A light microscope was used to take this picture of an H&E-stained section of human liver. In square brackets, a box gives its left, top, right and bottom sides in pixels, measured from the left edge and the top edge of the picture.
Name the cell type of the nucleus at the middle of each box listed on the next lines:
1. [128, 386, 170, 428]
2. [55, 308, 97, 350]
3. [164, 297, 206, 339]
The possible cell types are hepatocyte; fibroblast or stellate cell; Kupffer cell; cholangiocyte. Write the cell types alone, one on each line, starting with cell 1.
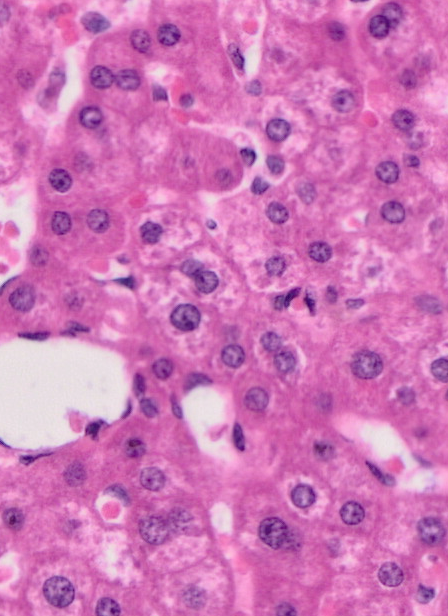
fibroblast or stellate cell
fibroblast or stellate cell
hepatocyte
